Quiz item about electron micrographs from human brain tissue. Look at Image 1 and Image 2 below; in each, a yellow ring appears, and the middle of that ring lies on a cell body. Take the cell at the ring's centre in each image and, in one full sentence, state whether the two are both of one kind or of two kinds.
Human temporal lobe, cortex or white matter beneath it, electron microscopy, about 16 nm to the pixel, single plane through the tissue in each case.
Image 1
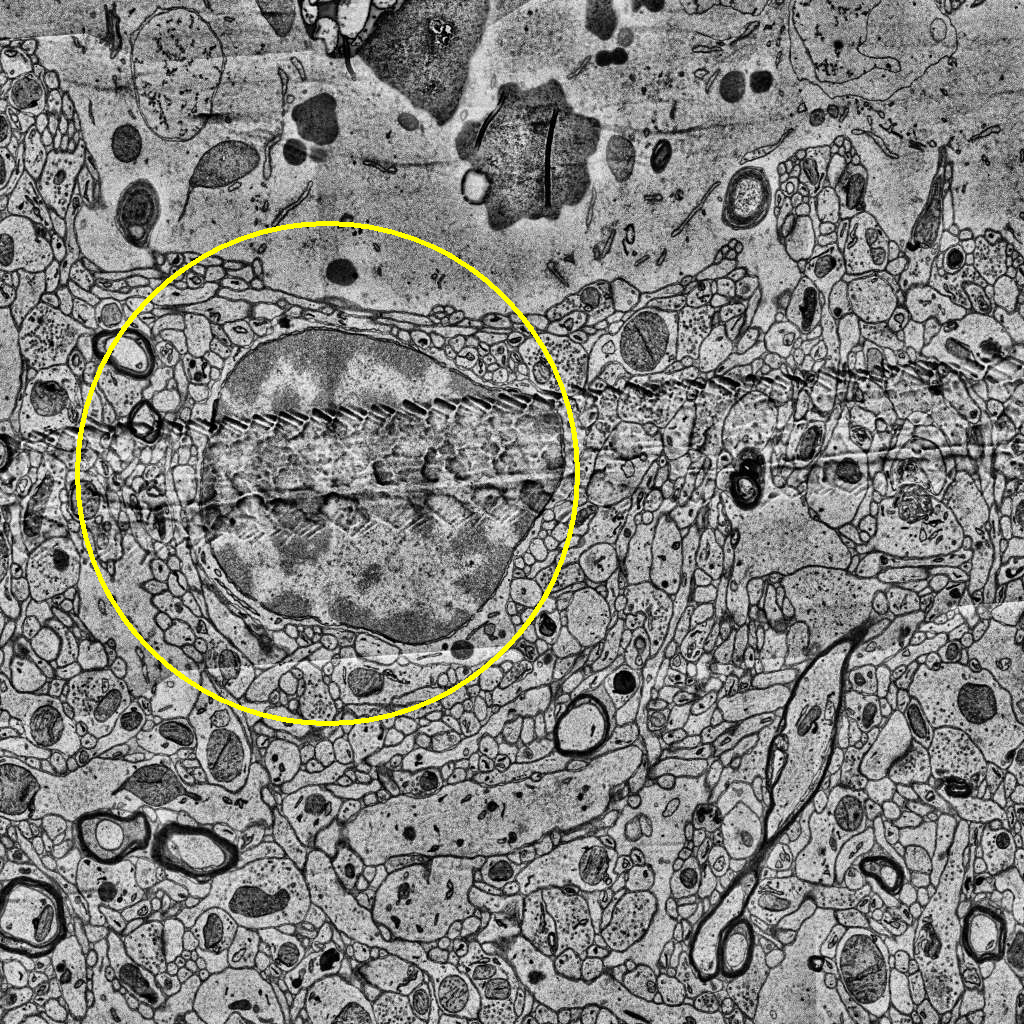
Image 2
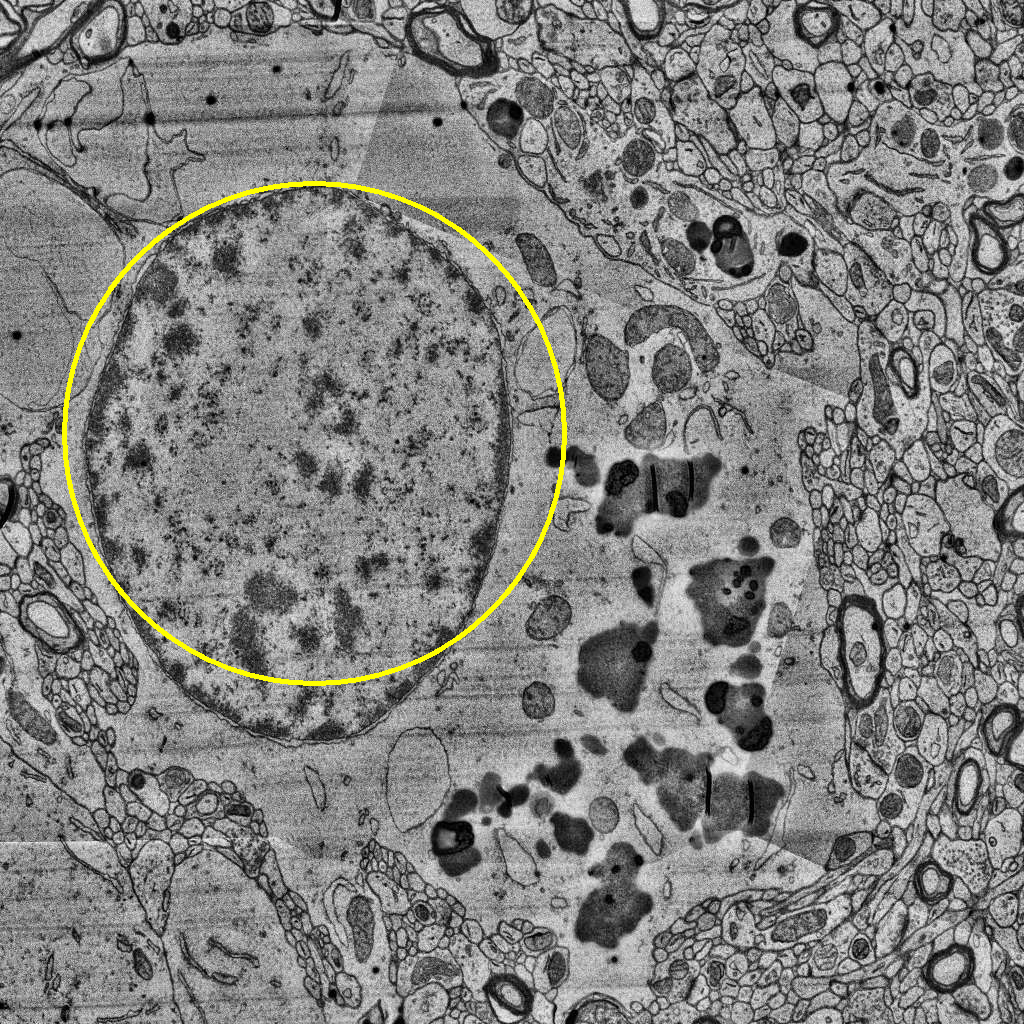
In Image 1 and Image 2, the cells at the ring centres are of two kinds.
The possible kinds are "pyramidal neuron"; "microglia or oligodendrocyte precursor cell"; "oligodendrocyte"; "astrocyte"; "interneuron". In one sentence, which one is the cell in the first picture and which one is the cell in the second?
The cell in the second picture is an astrocyte, and that in the first is a microglial cell or oligodendrocyte precursor cell.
